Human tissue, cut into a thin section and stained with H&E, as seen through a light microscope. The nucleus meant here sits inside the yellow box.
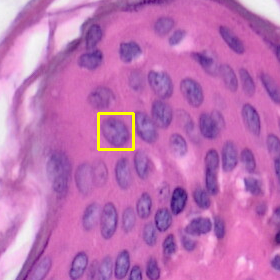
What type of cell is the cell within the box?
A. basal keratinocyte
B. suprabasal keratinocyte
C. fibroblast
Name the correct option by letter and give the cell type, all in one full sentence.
Option B stands as correct, with the cell within the box being a suprabasal keratinocyte.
